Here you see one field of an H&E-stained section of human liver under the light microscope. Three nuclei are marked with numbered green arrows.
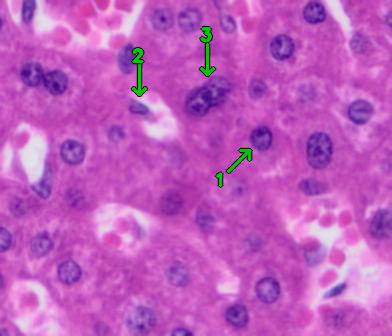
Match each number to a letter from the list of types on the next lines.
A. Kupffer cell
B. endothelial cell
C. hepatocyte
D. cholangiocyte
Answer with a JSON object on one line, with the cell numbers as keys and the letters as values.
{"1": "C", "2": "A", "3": "C"}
